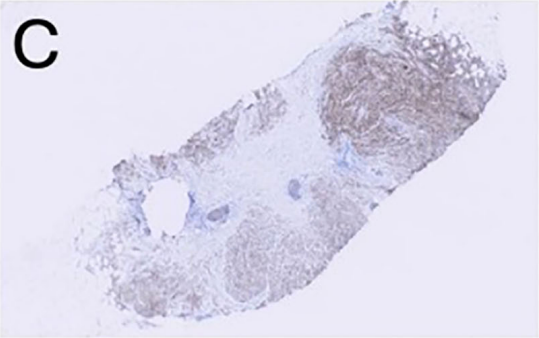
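This is a strip-shaped tissue core seen at low power, with rounded nests of densely packed cells separated by pale bluish stroma. The nests take a moderate light-brown stain throughout, while the stroma is counterstained blue and contains a round empty space near one end.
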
